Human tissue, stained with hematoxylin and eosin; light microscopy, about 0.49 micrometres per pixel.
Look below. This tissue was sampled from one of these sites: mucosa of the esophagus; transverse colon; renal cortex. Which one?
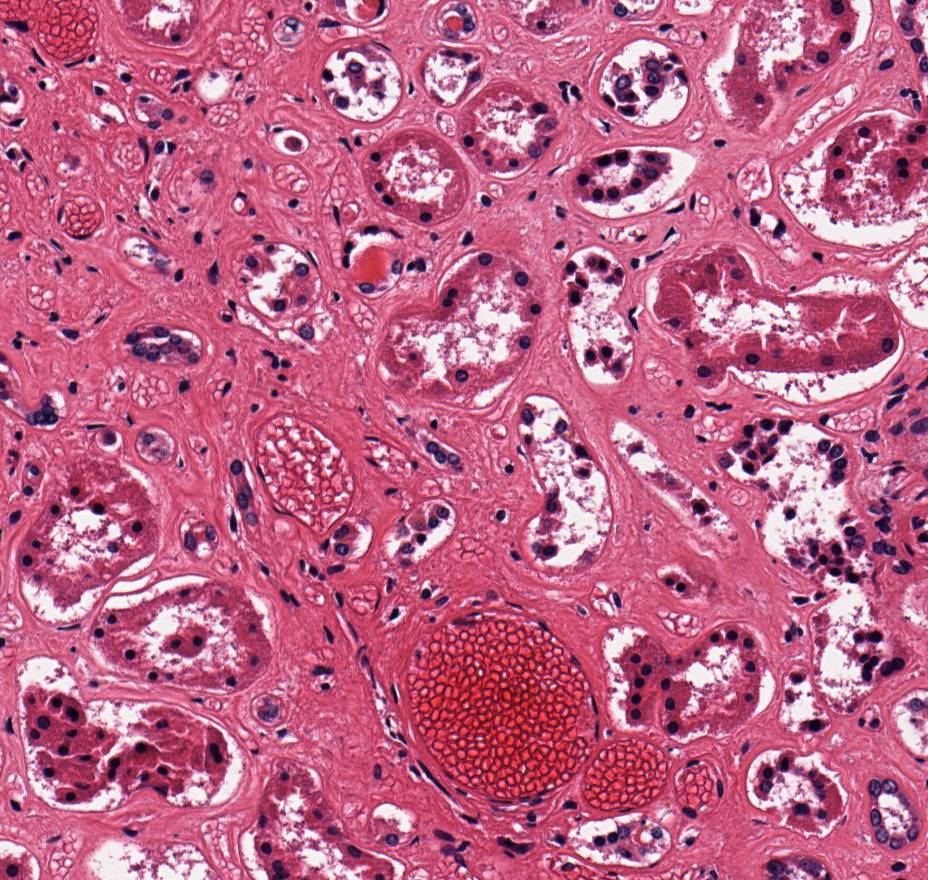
renal cortex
